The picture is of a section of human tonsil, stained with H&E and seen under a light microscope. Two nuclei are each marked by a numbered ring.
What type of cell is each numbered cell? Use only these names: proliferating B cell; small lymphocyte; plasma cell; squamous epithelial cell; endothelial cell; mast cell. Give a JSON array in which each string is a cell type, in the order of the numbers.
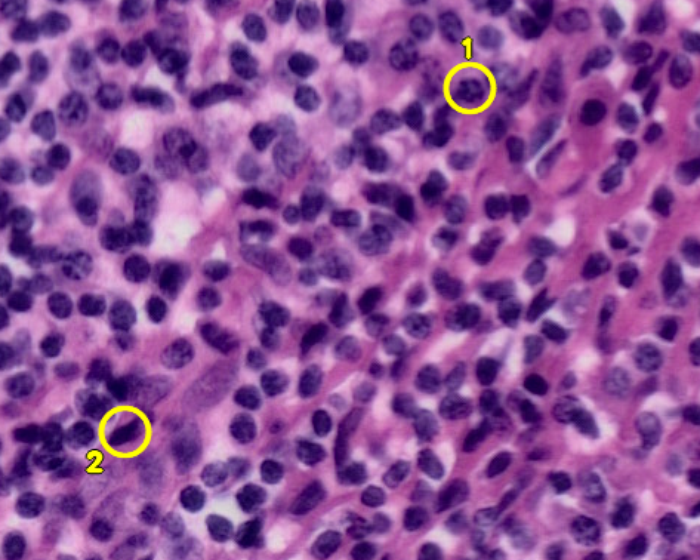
["plasma cell", "endothelial cell"]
